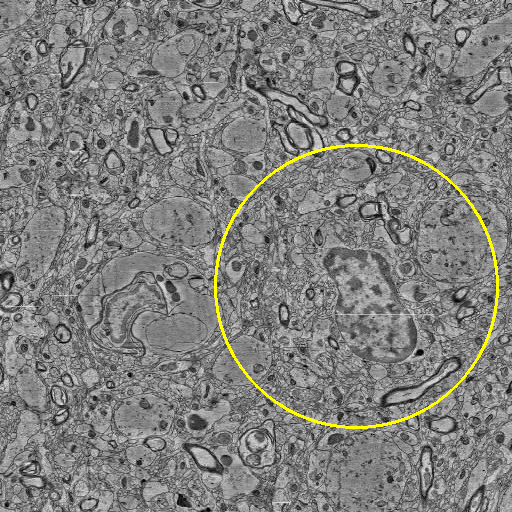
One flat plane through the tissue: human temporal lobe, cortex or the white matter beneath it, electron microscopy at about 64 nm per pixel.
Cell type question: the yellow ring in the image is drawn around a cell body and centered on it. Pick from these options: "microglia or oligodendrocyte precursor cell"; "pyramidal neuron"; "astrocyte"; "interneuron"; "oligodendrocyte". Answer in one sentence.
The ringed cell at the center is a microglial cell or oligodendrocyte precursor cell.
